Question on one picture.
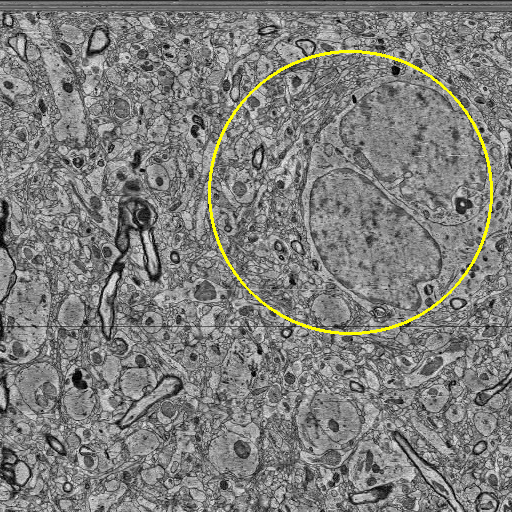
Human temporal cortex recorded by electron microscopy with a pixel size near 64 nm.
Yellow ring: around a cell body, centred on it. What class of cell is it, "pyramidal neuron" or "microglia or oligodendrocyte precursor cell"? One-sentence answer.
This is a microglial cell or oligodendrocyte precursor cell, the cell the ring is centred on.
